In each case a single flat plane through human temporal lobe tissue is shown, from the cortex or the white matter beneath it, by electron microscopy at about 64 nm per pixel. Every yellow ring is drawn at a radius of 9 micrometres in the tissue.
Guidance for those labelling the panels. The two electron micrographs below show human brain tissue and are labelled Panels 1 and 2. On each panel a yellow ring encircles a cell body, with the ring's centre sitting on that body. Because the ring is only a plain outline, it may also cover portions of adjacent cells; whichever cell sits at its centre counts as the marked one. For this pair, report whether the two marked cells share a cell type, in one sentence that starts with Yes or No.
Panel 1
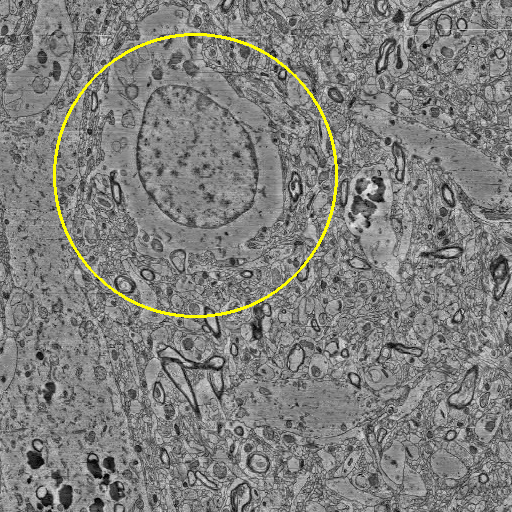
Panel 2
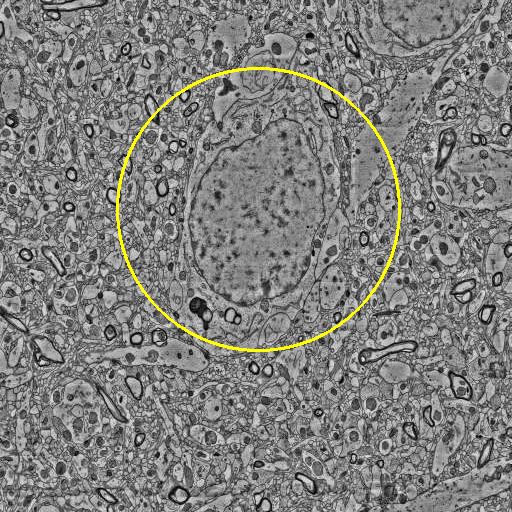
No, in Panel 1 and Panel 2 the marked cells at the ring centres are of two types.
